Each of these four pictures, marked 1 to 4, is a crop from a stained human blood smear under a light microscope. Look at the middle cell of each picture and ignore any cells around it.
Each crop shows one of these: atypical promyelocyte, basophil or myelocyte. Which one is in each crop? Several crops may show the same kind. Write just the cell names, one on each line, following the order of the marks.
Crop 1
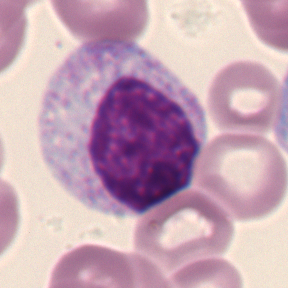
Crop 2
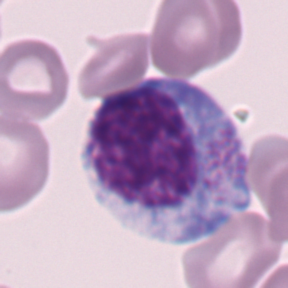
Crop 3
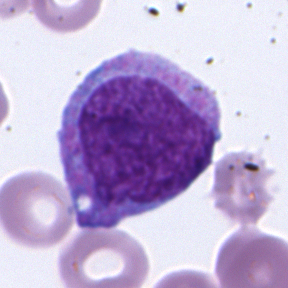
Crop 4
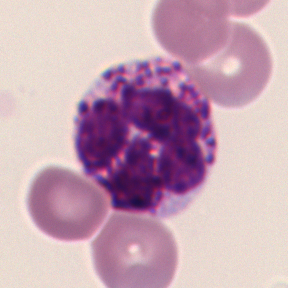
myelocyte
myelocyte
atypical promyelocyte
basophil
